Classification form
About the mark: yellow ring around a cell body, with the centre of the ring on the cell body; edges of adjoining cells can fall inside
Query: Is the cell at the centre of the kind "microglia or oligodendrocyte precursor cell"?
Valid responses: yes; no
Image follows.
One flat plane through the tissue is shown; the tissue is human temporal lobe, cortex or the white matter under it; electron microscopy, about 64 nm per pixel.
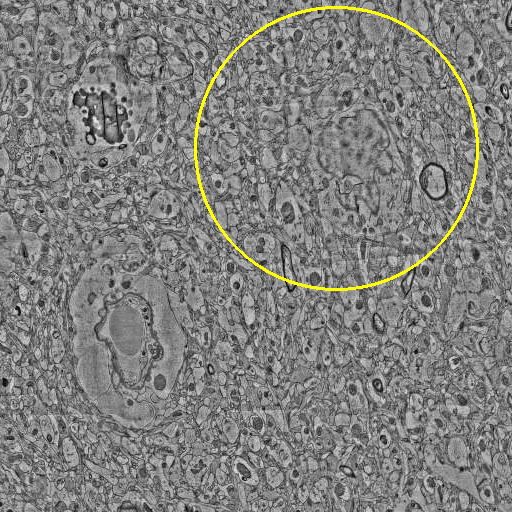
no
